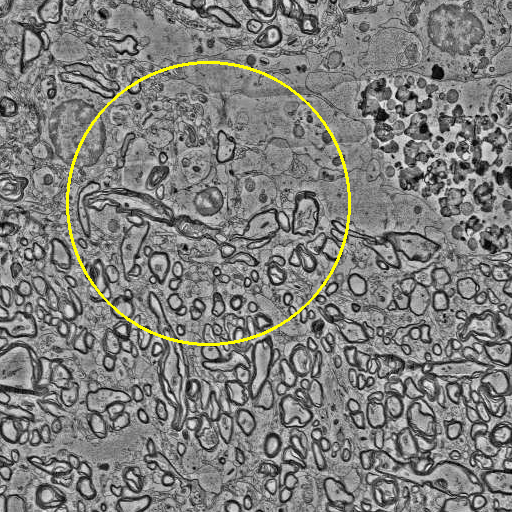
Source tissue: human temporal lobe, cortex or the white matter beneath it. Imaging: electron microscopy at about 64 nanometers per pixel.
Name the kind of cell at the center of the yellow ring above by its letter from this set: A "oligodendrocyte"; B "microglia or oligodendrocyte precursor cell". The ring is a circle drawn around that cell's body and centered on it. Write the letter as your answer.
B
